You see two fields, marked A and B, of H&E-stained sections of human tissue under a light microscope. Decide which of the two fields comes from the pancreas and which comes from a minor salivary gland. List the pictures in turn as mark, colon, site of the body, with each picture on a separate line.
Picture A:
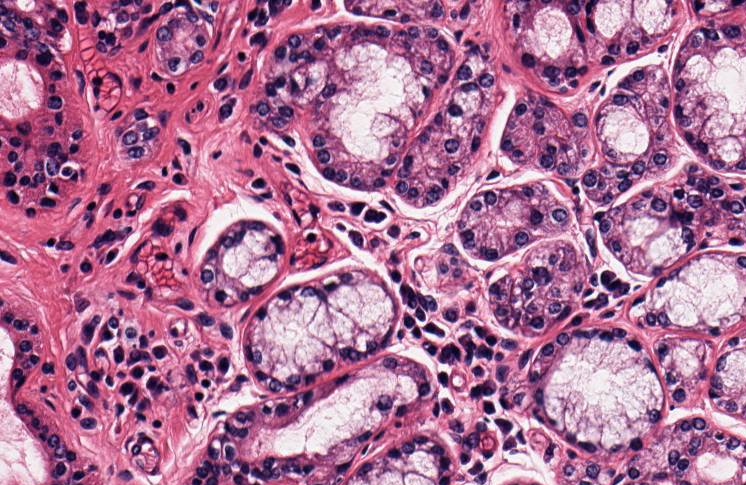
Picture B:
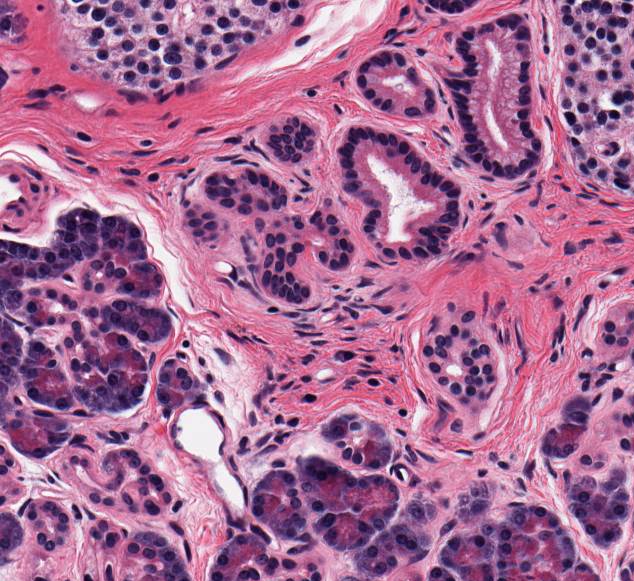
A: minor salivary gland
B: pancreas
